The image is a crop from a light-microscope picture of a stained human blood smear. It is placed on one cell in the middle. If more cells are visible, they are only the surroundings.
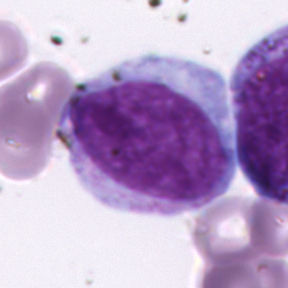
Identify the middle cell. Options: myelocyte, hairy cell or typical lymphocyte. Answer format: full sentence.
The cell at the middle of the frame should be recorded as a myelocyte.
